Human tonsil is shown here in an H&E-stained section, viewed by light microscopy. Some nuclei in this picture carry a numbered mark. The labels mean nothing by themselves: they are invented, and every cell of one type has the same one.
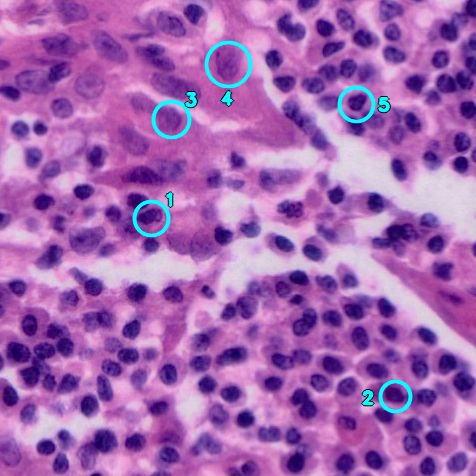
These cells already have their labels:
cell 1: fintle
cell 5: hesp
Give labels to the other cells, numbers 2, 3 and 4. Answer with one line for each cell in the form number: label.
2: hesp
3: fintle
4: fintle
